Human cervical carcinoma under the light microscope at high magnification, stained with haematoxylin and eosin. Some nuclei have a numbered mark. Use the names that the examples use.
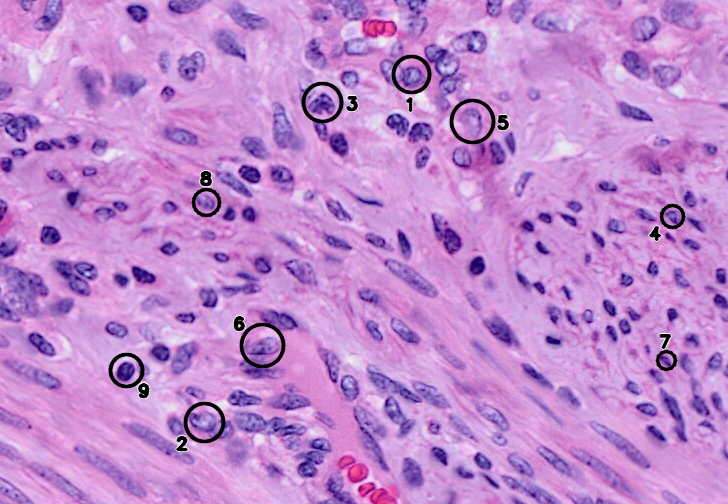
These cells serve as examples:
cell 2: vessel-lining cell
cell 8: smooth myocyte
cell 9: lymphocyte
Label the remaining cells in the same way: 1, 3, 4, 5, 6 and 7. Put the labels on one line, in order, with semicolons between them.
vessel-lining cell; lymphocyte; smooth myocyte; vessel-lining cell; vessel-lining cell; smooth myocyte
